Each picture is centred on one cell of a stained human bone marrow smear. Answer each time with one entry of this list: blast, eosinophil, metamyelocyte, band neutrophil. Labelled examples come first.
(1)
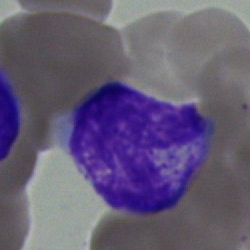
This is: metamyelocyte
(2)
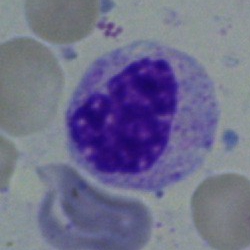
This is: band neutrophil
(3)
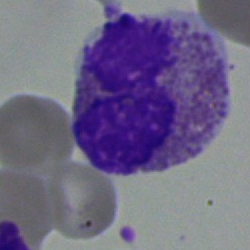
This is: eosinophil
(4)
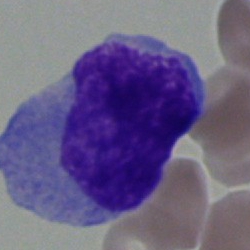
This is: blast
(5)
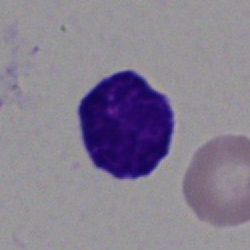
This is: blast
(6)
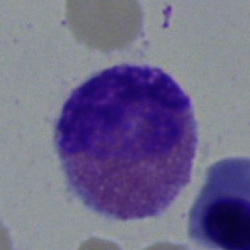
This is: eosinophil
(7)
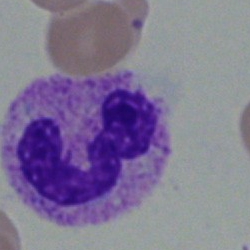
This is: band neutrophil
